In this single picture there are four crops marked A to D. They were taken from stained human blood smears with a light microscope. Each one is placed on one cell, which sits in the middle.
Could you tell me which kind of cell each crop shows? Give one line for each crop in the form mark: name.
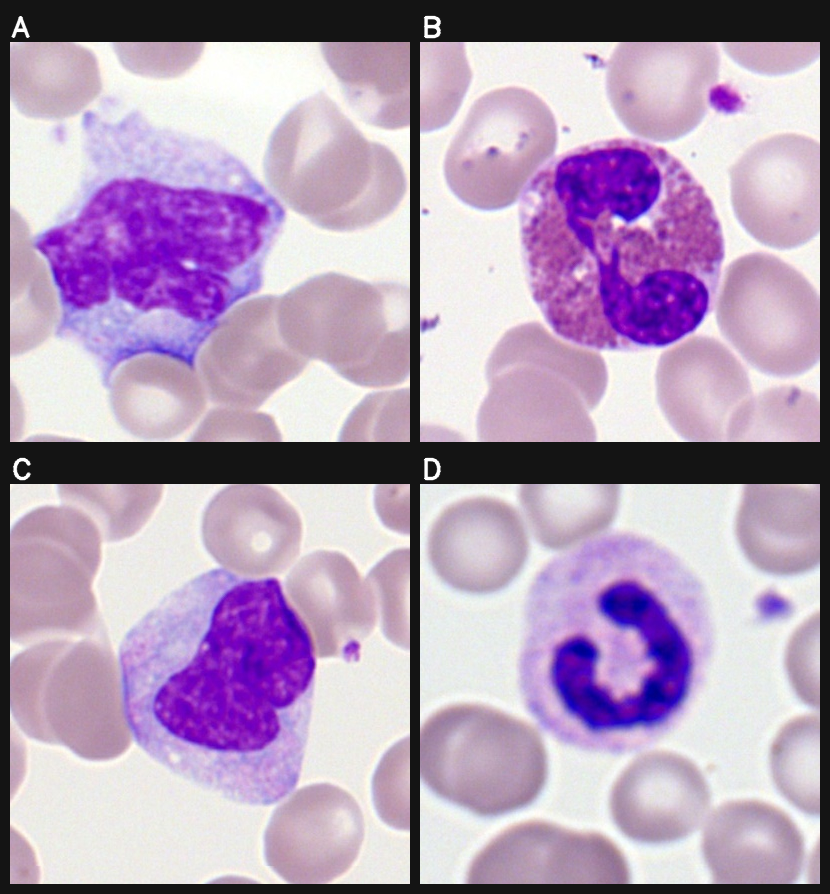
A: monocyte
B: eosinophil
C: monocyte
D: band neutrophil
